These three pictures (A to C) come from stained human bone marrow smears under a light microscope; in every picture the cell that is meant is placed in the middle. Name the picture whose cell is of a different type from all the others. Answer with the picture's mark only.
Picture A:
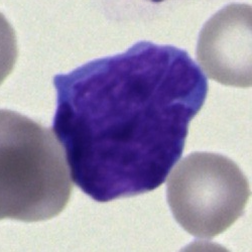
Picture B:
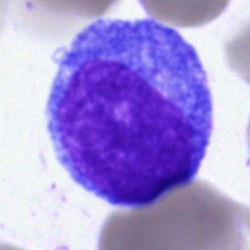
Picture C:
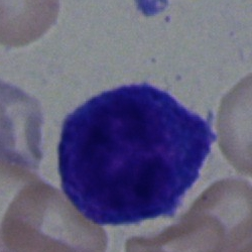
A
